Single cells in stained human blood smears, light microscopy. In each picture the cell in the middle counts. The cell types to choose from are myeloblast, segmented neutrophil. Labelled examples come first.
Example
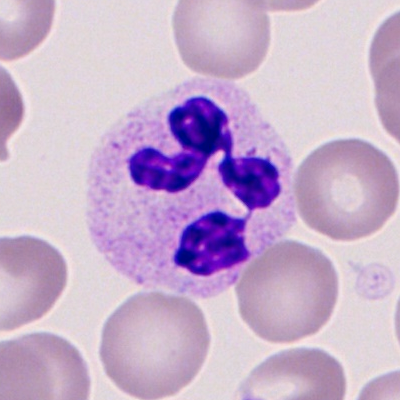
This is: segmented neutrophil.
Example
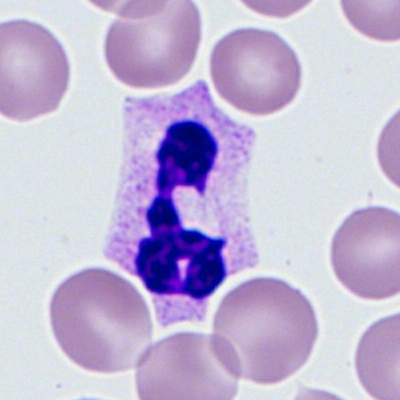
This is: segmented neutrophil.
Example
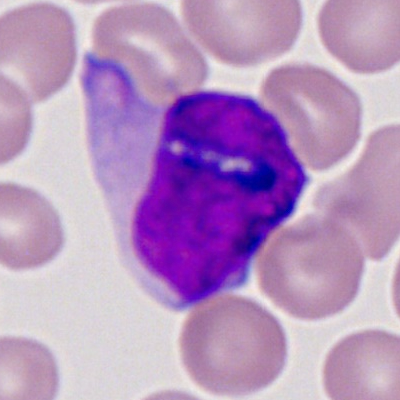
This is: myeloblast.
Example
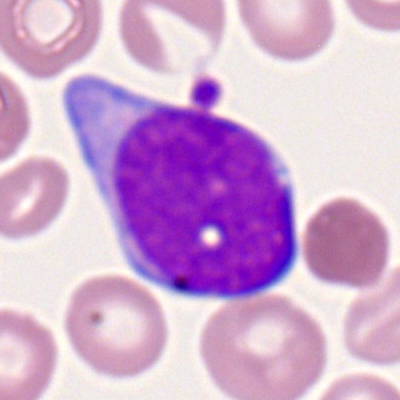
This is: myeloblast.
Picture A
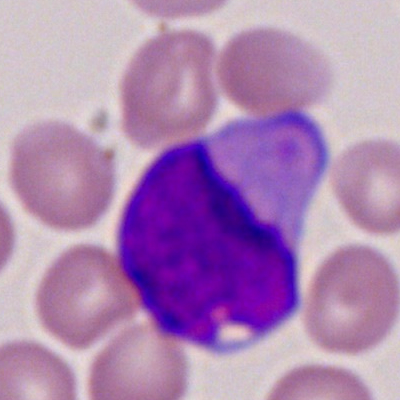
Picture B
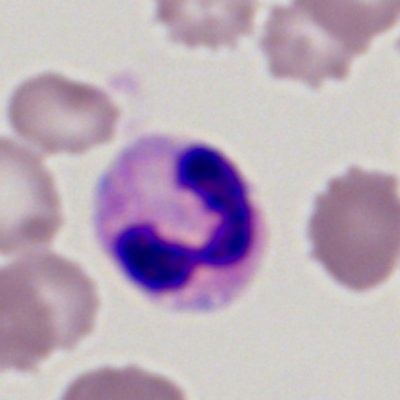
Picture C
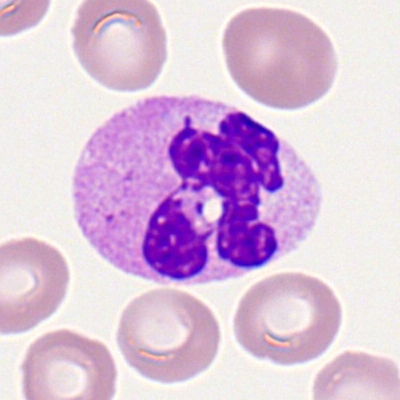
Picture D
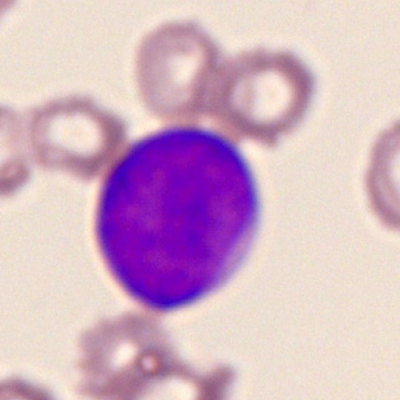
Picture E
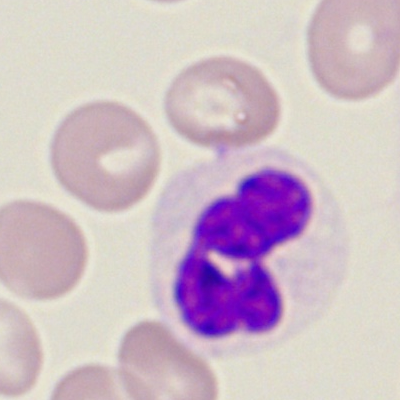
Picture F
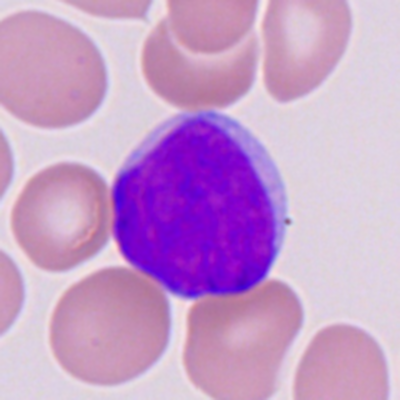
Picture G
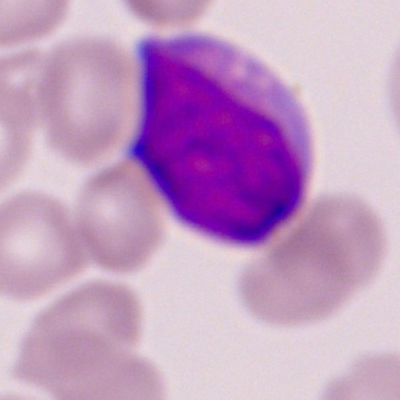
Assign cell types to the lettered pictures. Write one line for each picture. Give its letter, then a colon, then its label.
A: myeloblast.
B: segmented neutrophil.
C: segmented neutrophil.
D: myeloblast.
E: segmented neutrophil.
F: myeloblast.
G: myeloblast.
